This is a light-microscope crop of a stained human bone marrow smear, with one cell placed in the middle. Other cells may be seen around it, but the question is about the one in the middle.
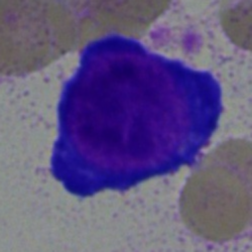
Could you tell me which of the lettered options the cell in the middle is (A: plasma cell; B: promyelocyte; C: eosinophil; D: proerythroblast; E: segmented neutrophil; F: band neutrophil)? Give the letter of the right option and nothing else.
D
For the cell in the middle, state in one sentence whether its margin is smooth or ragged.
The periphery of this cell is uneven, with ragged portions or projections.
